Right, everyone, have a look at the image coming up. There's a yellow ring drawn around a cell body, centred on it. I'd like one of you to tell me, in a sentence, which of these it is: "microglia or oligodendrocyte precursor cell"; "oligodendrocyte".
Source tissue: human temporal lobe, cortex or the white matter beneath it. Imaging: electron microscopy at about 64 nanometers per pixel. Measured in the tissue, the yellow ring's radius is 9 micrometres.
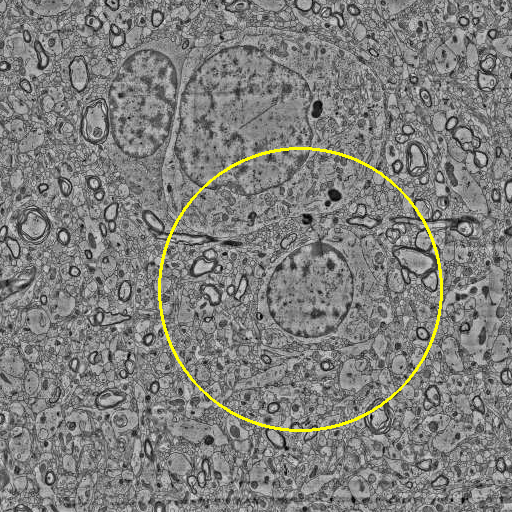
The yellow ring sits on a microglial cell or oligodendrocyte precursor cell.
